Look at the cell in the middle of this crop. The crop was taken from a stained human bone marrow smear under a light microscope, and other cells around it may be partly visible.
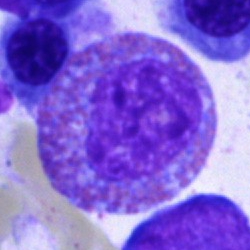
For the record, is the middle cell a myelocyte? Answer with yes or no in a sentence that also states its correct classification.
Yes, the cell here in the middle is a myelocyte.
